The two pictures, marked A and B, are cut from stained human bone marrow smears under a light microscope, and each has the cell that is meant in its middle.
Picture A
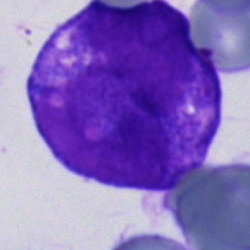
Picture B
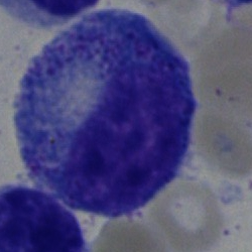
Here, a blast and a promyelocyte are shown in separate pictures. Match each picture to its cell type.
A: blast
B: promyelocyte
